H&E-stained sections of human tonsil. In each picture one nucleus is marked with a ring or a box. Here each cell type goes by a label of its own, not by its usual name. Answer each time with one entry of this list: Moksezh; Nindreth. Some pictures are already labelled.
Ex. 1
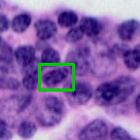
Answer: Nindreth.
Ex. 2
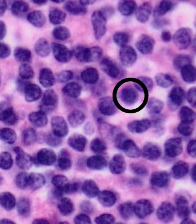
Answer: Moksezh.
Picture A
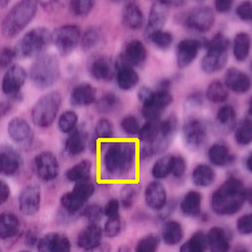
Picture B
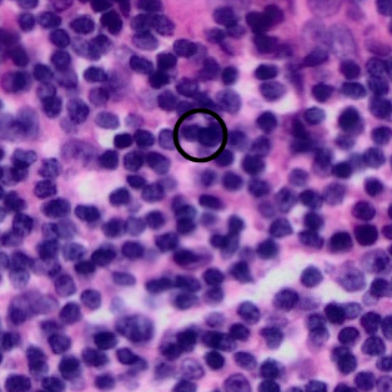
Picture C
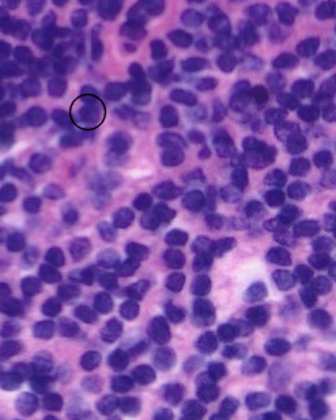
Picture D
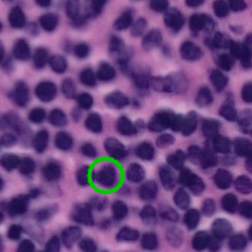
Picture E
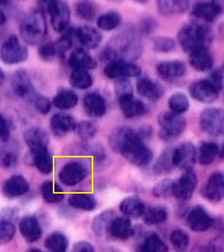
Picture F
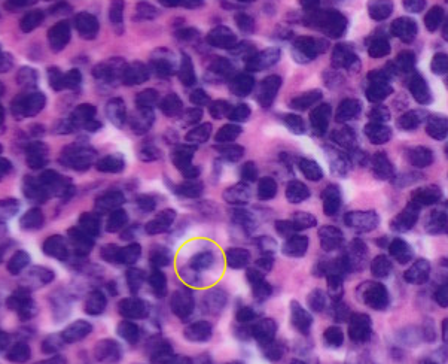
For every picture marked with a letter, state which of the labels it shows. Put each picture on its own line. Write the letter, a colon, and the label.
A: Nindreth.
B: Moksezh.
C: Moksezh.
D: Moksezh.
E: Moksezh.
F: Moksezh.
